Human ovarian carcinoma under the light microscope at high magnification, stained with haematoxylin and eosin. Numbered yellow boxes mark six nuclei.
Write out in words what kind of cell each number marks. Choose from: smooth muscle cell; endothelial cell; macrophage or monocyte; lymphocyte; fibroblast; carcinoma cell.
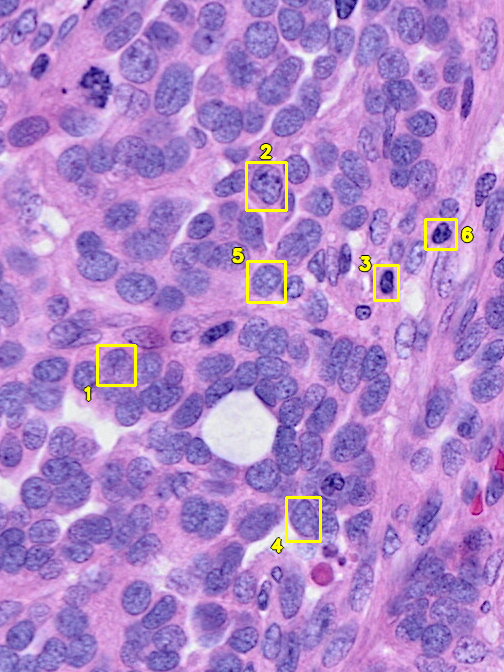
Cell 1 is a carcinoma cell, cell 2 is a carcinoma cell, cell 3 is a lymphocyte, cell 4 is a carcinoma cell, cell 5 is a carcinoma cell and cell 6 is a lymphocyte.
